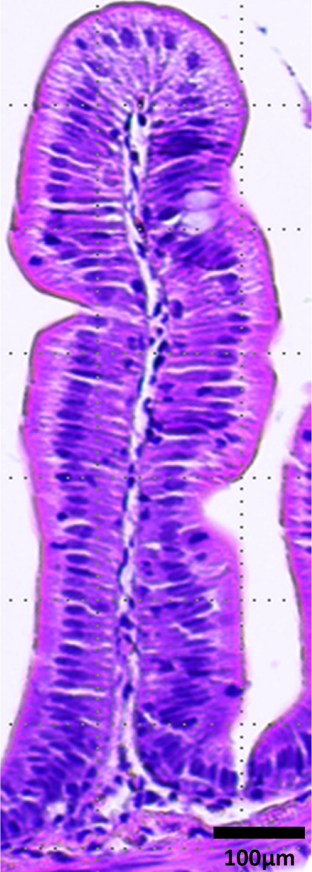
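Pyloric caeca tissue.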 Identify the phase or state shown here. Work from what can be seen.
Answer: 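Normal. The columnar epithelial cells have densely stained, uniform purple-pink cytoplasm. The cytoplasm shows little clearing or vacuolation. Elongated nuclei are packed in an orderly row along the cells.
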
